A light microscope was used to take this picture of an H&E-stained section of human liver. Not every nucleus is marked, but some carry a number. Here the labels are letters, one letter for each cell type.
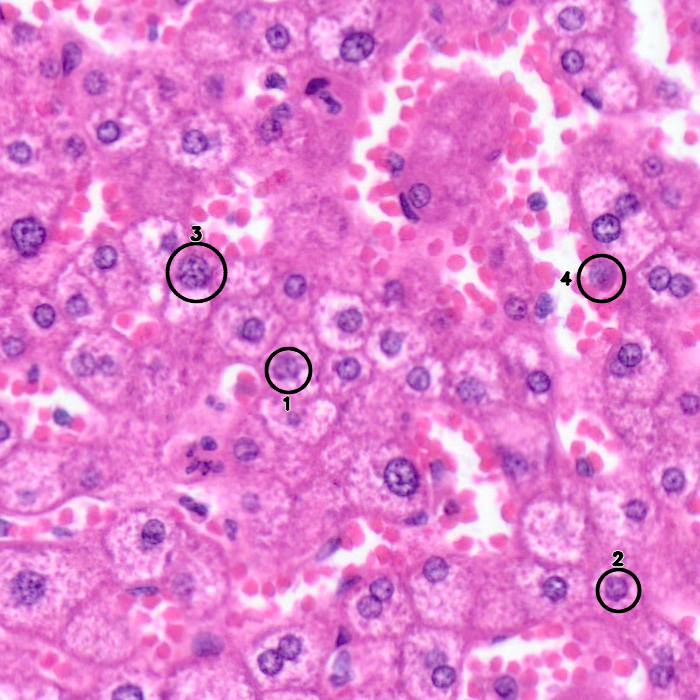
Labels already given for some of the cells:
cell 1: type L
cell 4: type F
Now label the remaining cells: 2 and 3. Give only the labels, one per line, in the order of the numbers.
type L
type L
